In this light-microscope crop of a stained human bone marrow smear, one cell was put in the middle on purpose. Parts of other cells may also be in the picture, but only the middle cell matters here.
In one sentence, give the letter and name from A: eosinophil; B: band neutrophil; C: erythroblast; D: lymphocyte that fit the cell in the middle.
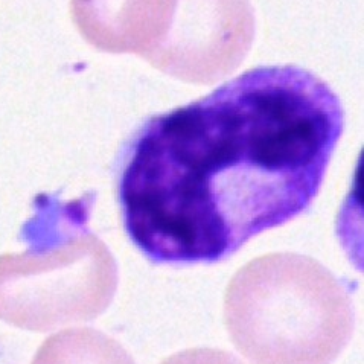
The correct option is B, as the central cell is a band neutrophil.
